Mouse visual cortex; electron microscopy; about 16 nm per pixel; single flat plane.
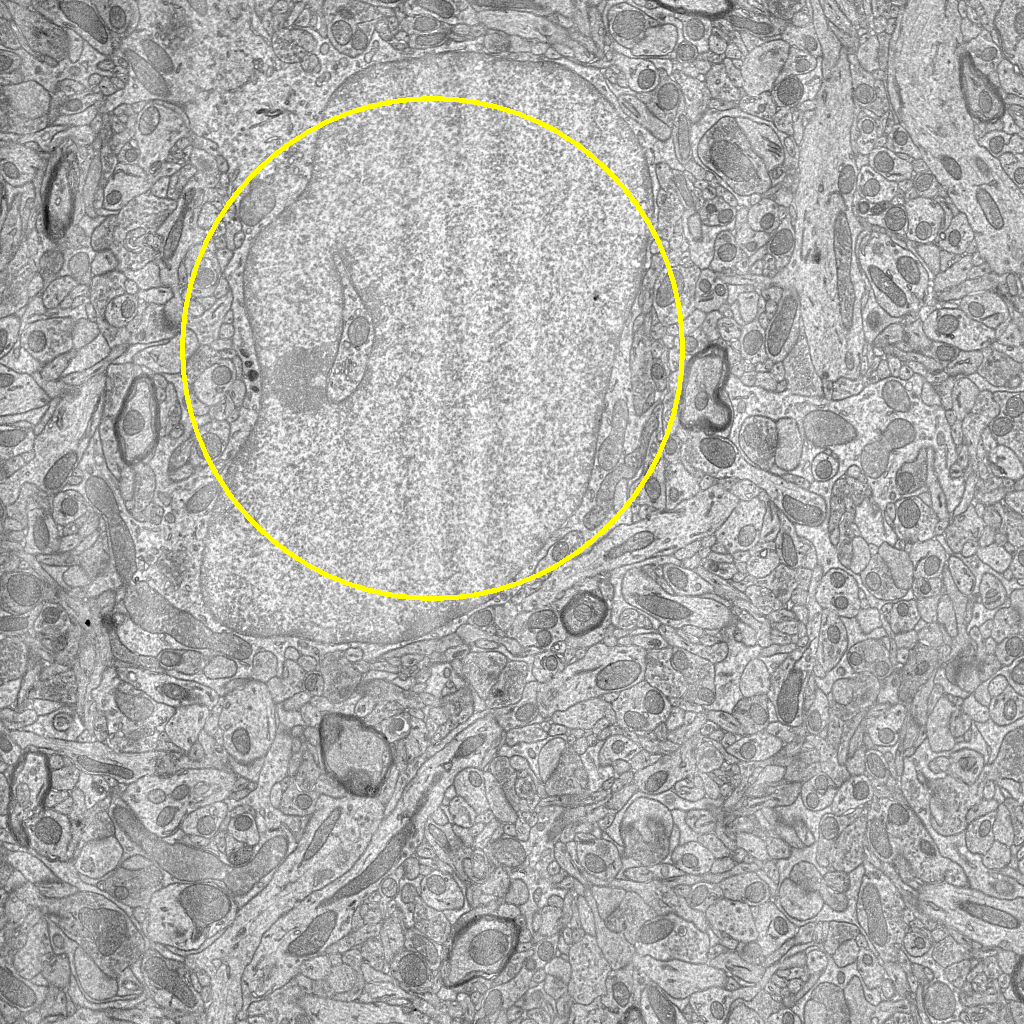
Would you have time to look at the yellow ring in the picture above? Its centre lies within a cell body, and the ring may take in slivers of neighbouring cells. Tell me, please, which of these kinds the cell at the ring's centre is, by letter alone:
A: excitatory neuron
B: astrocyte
B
